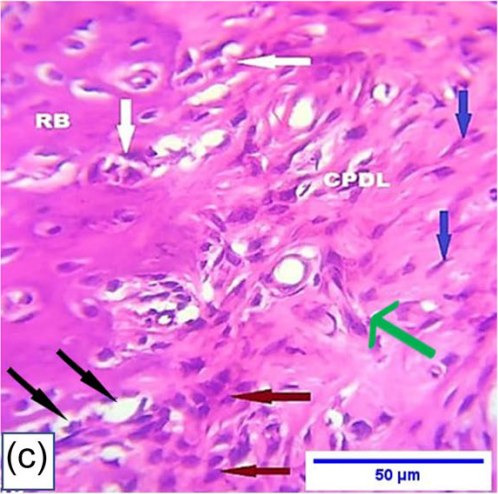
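Pink bone at upper left has an irregular scalloped edge, with cells seated in hollows along its surface. The ligament is dense pink fibrous tissue holding elongated fibroblasts with slender dark nuclei. Small vessels with round pale lumens lie in the ligament. Toward the lower part, small dark rounded nuclei crowd together in a cellular area. Cells with rounded nuclei beside pale spaces sit at the lower left.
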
